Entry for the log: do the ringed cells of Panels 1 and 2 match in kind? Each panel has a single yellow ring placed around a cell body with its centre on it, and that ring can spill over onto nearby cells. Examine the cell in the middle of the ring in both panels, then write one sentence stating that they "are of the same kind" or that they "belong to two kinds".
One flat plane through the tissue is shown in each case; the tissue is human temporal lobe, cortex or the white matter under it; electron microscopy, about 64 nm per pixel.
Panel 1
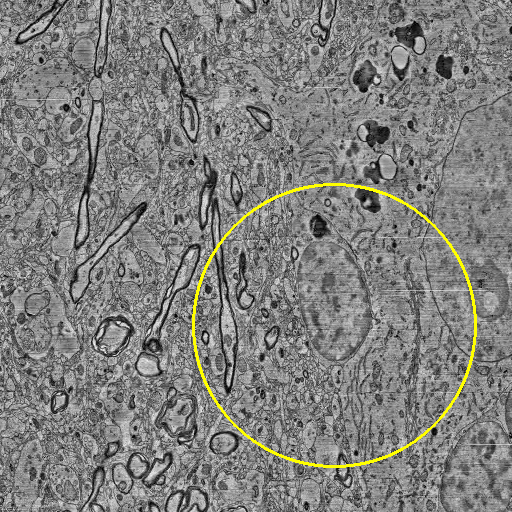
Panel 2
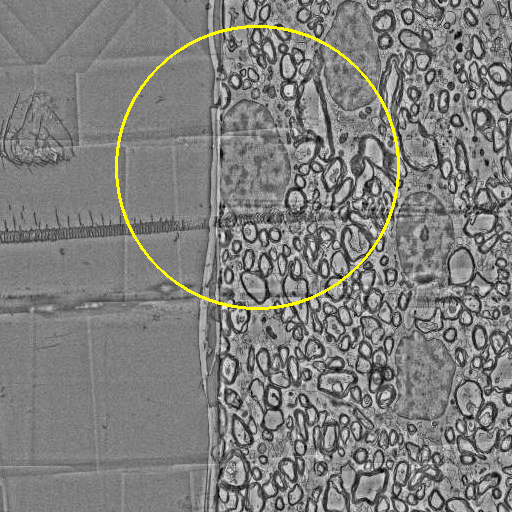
The centre cell of Panel 1's ring and that of Panel 2's ring are of the same kind.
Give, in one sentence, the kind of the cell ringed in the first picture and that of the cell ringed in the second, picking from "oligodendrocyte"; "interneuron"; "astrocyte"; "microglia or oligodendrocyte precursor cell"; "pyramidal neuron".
Each of the ringed cells, first and second, is an oligodendrocyte.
